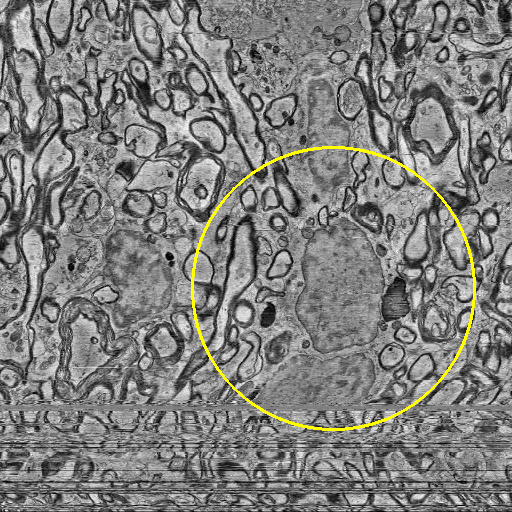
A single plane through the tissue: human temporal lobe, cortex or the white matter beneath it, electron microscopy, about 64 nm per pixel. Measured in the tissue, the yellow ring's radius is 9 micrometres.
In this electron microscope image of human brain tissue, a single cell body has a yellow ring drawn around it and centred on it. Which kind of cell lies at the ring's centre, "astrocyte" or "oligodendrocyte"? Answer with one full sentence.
It is an oligodendrocyte whose cell body lies at the centre of the yellow ring here.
